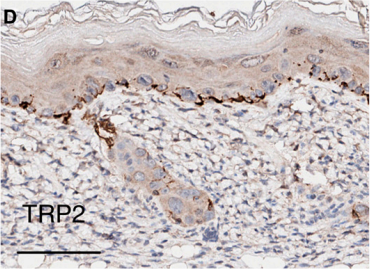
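This section of skin shows the epidermis with melanocytes lying along its base. The melanocytes are stained dark brown and send thin, branching processes between the basal keratinocytes, forming a broken dark line at the junction with the dermis. More of these dark cells lie within a hair follicle reaching down into the dermis. Below, the dermis is loose, with scattered small blue nuclei among pale fibres.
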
